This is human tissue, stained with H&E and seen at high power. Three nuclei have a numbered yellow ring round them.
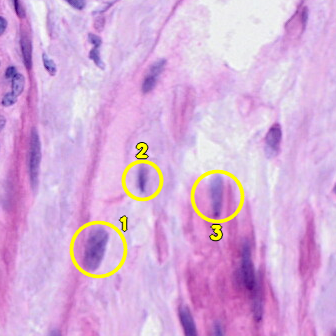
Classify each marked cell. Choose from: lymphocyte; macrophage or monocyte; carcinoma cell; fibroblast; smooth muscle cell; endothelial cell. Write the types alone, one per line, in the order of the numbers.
endothelial cell
fibroblast
smooth muscle cell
